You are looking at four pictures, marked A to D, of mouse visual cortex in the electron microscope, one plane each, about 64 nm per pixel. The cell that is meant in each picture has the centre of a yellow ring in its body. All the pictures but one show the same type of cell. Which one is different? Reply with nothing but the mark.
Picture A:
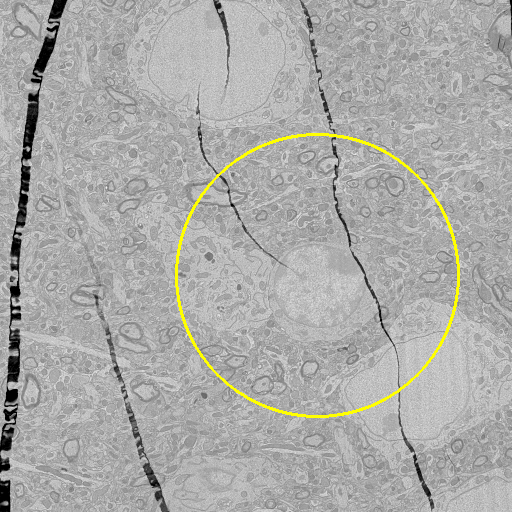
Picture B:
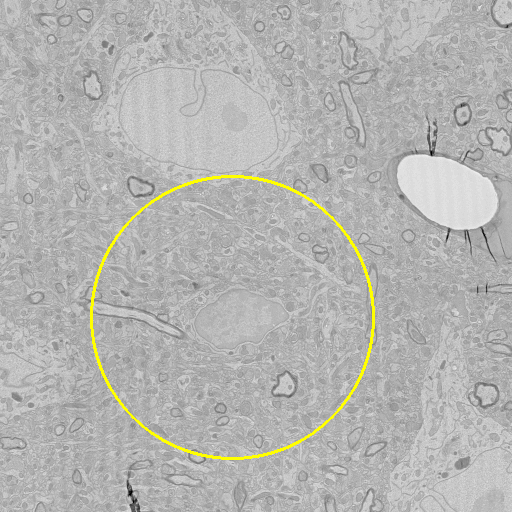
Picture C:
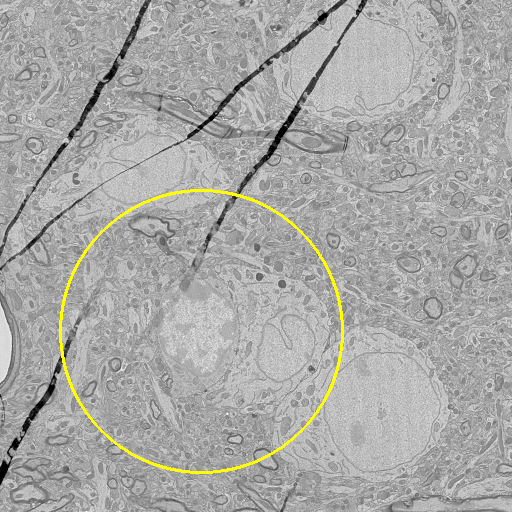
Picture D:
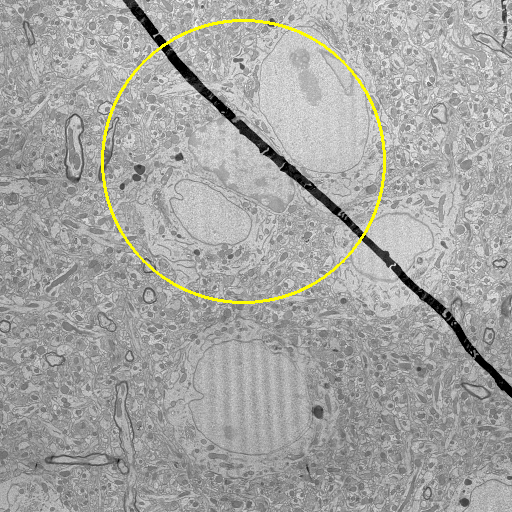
B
